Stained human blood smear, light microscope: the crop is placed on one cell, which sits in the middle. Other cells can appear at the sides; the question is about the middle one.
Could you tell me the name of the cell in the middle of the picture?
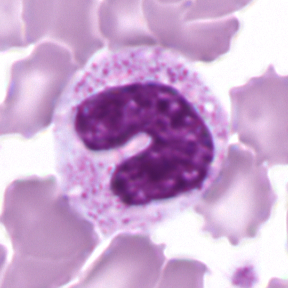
band neutrophil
